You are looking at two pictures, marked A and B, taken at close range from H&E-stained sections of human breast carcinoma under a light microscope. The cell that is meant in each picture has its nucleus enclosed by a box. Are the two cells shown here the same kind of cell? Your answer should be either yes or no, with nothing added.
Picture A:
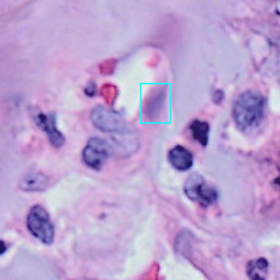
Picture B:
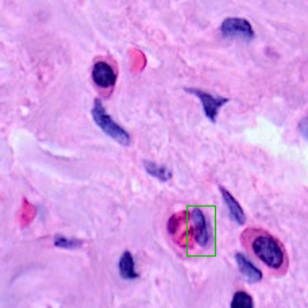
yes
